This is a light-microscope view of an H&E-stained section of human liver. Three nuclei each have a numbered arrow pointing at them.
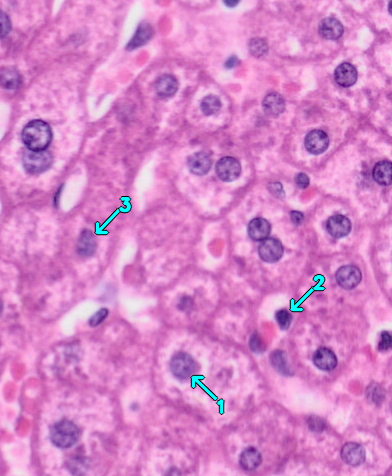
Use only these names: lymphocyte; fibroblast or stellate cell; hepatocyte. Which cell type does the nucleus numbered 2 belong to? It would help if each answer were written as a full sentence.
The cell indicated by marker 2 is a lymphocyte in this section.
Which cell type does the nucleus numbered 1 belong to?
Cell 1 is classified as a hepatocyte.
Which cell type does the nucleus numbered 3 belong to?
The cell with the number 3 is a hepatocyte.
